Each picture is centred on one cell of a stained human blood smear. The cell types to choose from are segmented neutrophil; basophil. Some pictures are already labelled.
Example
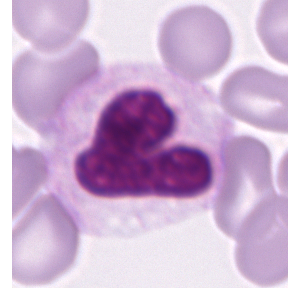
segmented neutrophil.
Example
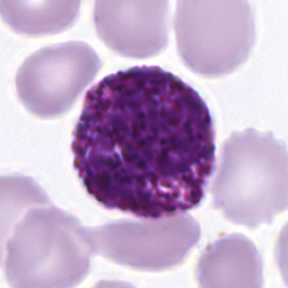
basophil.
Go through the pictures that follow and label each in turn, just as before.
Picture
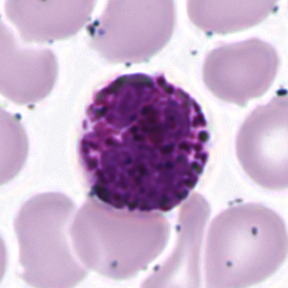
basophil.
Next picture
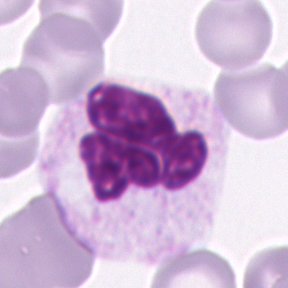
segmented neutrophil.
